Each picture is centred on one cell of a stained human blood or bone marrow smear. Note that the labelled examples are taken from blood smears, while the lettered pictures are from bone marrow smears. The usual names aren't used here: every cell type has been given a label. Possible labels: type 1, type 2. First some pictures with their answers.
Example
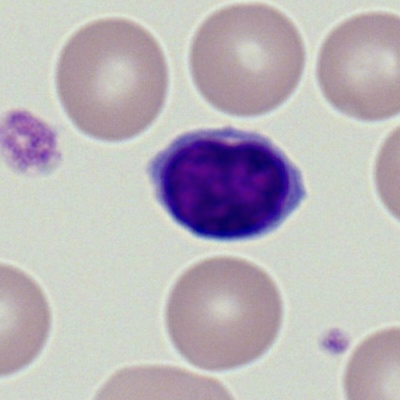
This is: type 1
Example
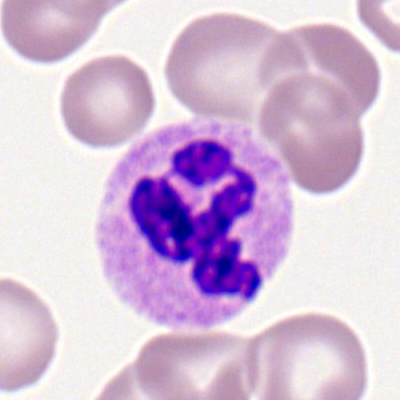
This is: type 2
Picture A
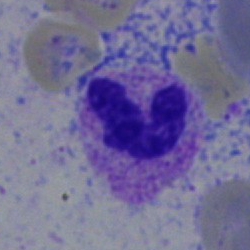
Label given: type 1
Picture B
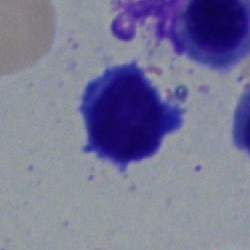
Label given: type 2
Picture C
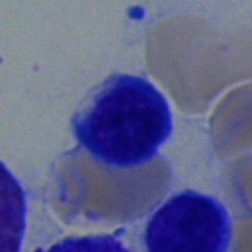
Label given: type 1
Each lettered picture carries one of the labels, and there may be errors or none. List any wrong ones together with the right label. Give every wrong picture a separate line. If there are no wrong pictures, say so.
Wrong: A (type 1); correct: type 2
Wrong: B (type 2); correct: type 1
